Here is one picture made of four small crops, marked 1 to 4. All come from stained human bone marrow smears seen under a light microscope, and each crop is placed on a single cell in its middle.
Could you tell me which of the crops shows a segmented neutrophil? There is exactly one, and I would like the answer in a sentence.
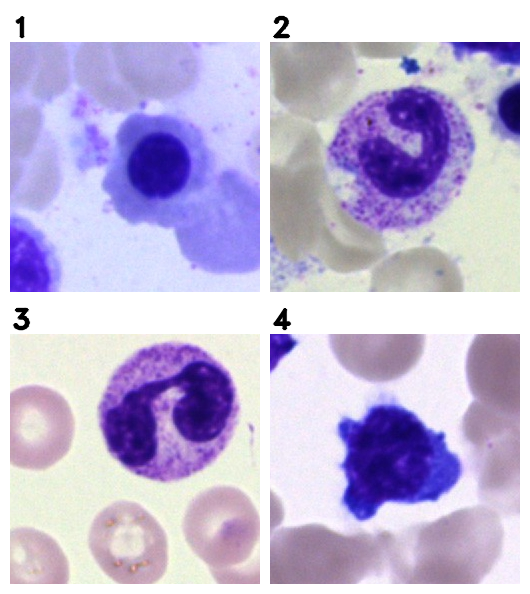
The cell at the center of crop 3 is the one that is a segmented neutrophil.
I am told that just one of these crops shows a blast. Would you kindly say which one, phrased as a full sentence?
Crop 4 is identified as the crop showing a blast.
